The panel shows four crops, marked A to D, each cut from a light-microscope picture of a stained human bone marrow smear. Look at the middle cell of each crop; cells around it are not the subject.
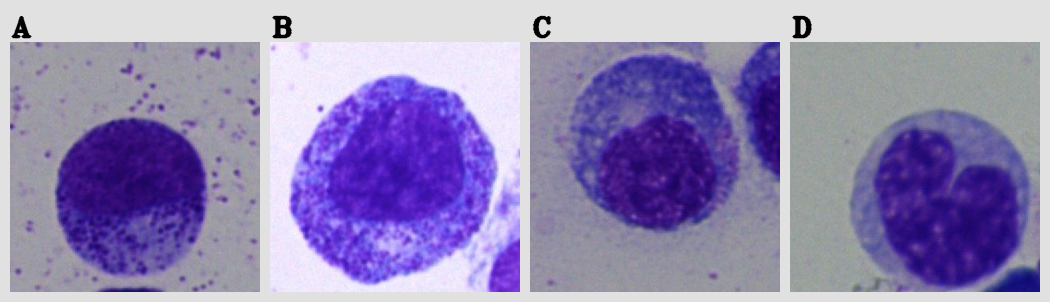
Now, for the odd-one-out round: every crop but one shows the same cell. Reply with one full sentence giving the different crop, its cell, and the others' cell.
The different crop is crop D, a monocyte; all the others show promyelocytes.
